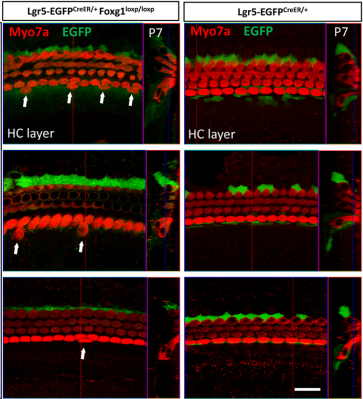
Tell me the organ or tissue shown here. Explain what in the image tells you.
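The rows run in parallel along a strip of epithelium.
Hence: cochleae.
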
